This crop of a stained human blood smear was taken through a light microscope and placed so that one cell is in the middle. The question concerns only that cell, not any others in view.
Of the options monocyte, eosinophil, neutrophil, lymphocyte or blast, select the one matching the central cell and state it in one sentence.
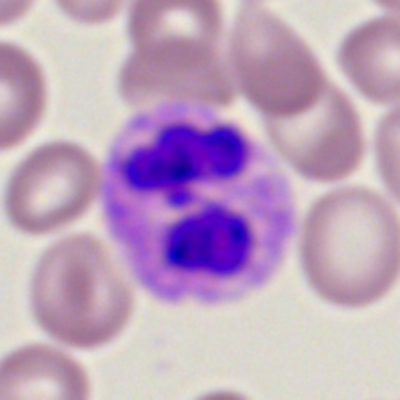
The middle position in this crop is taken by a neutrophil.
